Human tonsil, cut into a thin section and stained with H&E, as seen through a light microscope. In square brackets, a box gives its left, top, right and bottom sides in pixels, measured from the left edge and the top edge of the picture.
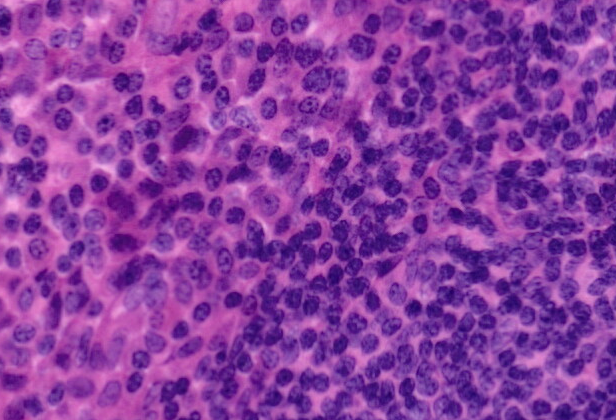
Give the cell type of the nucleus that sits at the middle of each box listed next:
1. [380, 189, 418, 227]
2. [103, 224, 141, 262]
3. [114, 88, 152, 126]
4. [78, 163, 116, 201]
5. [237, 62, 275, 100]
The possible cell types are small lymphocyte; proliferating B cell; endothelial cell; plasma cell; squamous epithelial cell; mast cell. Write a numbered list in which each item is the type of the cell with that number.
1. small lymphocyte
2. squamous epithelial cell
3. plasma cell
4. plasma cell
5. plasma cell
